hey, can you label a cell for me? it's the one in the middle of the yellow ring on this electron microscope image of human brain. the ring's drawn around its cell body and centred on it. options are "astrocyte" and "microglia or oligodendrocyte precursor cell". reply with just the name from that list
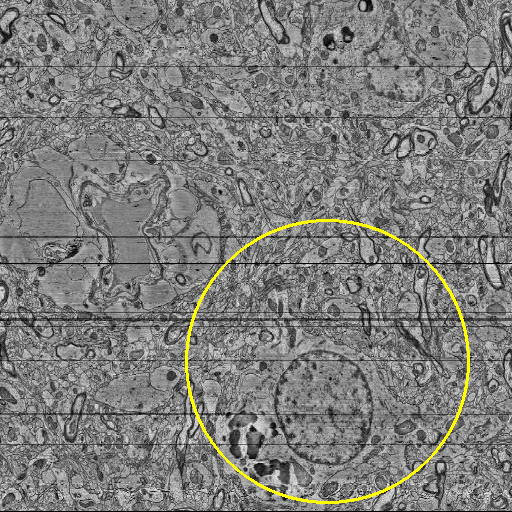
astrocyte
